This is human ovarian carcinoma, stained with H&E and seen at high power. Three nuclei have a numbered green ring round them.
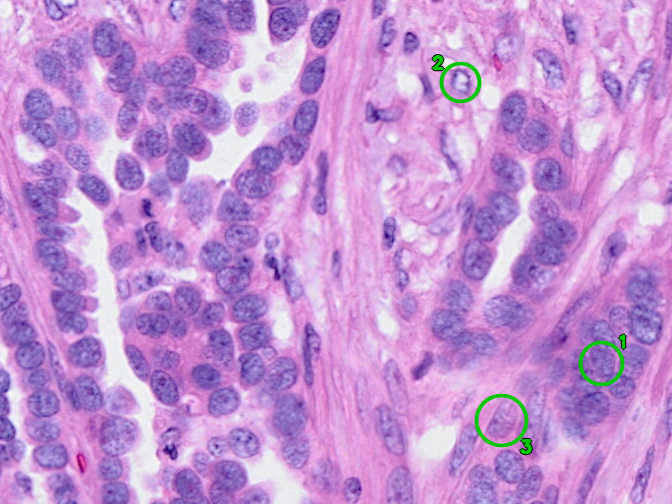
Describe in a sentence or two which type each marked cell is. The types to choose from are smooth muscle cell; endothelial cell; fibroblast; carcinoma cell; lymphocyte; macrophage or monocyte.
Cell 1 is a carcinoma cell. Cells 2 and 3 are fibroblasts.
